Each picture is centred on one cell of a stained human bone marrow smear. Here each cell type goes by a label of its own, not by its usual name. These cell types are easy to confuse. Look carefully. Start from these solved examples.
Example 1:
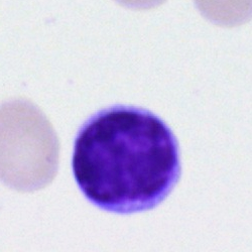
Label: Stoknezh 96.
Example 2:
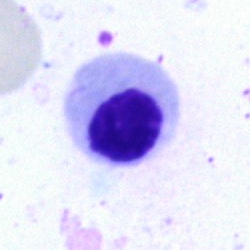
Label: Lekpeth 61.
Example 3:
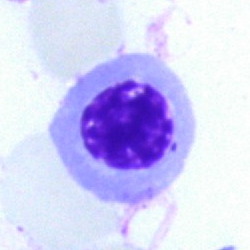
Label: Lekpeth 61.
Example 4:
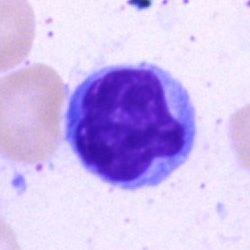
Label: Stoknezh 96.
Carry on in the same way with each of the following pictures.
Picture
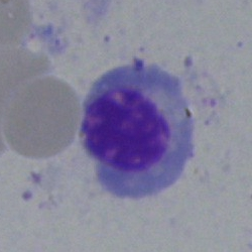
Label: Lekpeth 61.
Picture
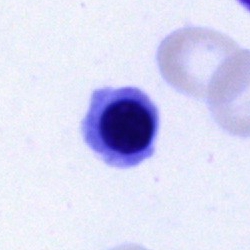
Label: Lekpeth 61.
